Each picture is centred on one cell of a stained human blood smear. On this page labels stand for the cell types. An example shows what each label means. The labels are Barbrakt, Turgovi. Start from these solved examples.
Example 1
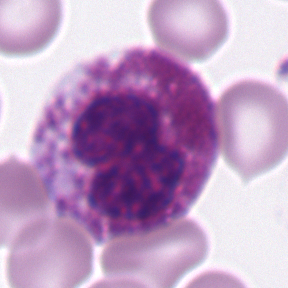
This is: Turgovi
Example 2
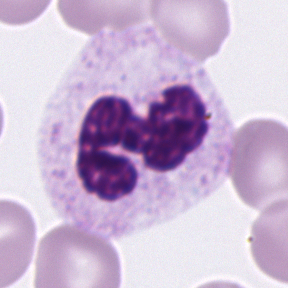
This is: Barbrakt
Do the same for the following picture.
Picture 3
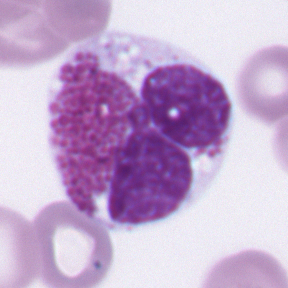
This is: Turgovi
